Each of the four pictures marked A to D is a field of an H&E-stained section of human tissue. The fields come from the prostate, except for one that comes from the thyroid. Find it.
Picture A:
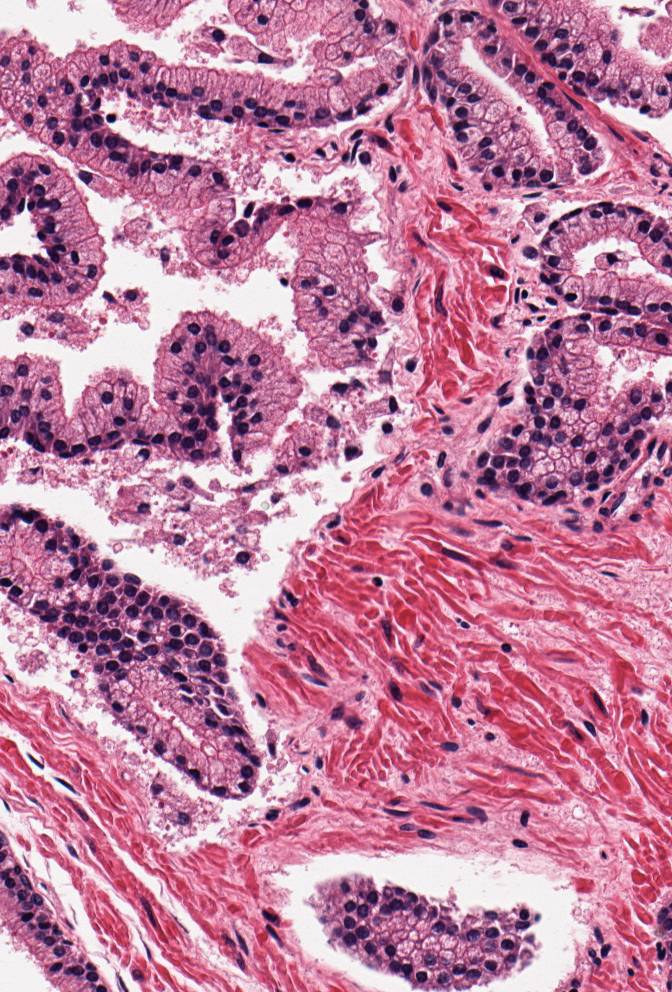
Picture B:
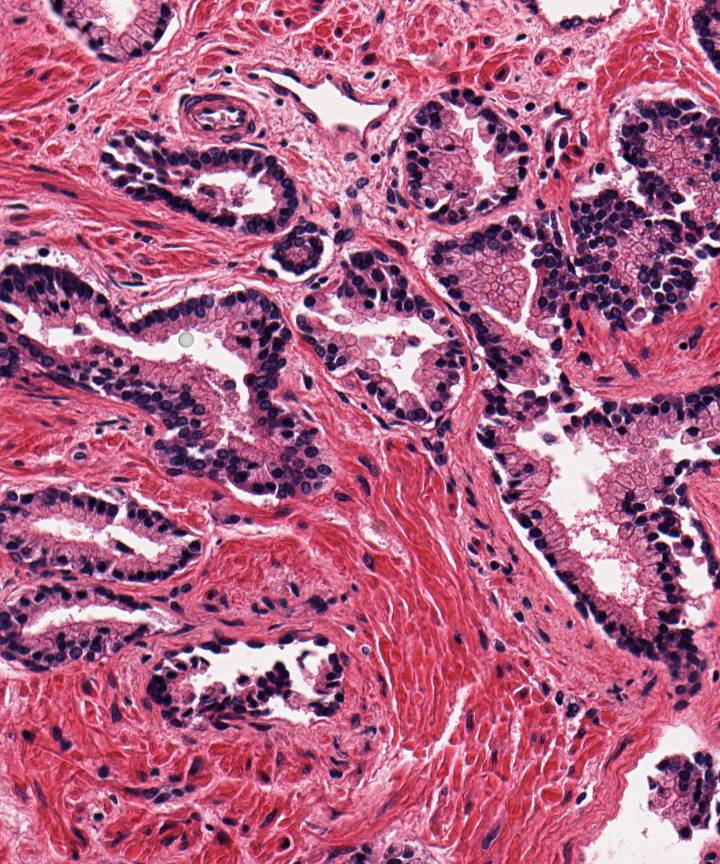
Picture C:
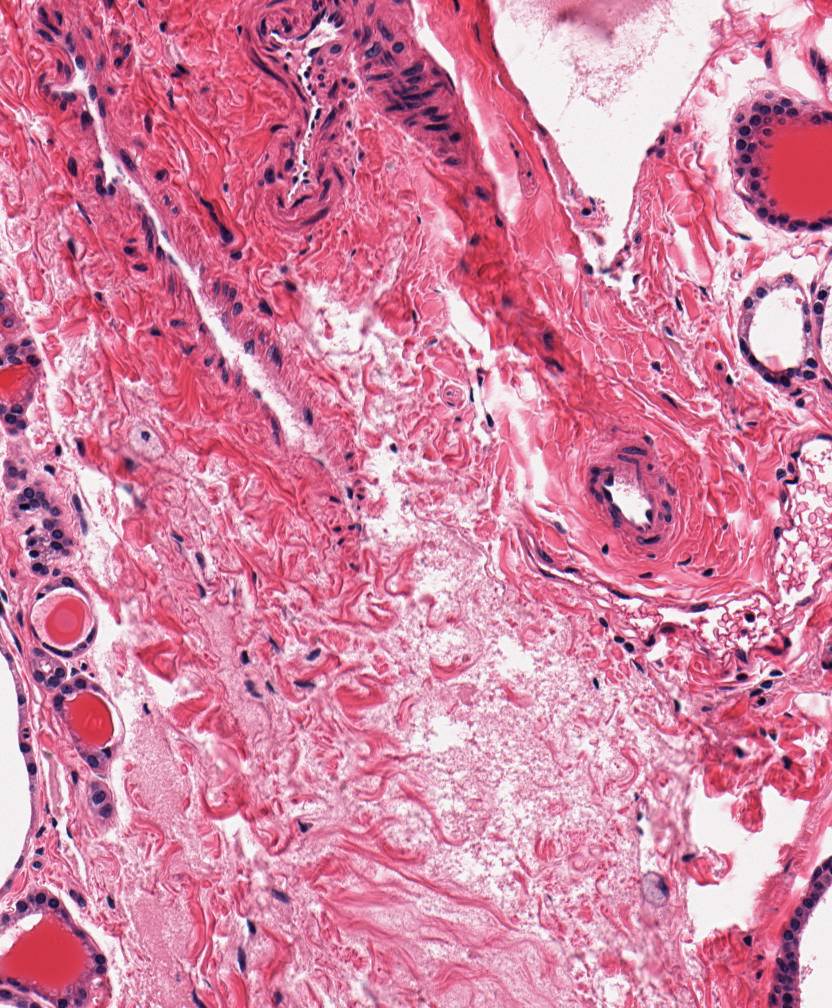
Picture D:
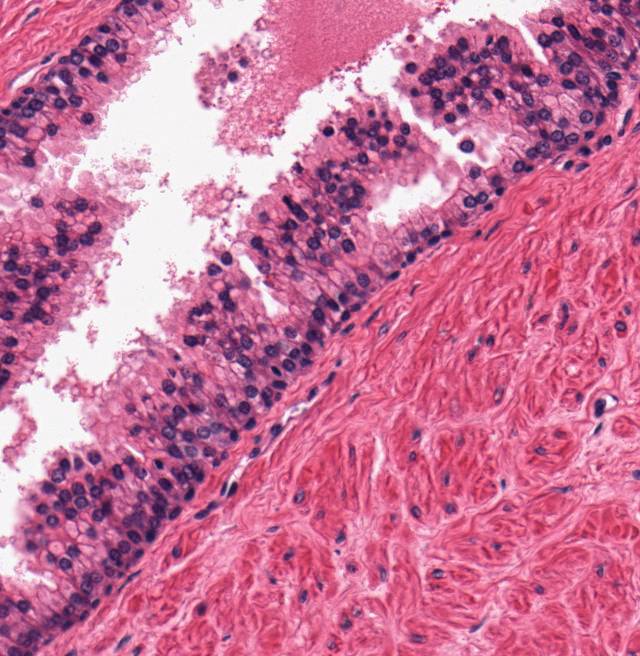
C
